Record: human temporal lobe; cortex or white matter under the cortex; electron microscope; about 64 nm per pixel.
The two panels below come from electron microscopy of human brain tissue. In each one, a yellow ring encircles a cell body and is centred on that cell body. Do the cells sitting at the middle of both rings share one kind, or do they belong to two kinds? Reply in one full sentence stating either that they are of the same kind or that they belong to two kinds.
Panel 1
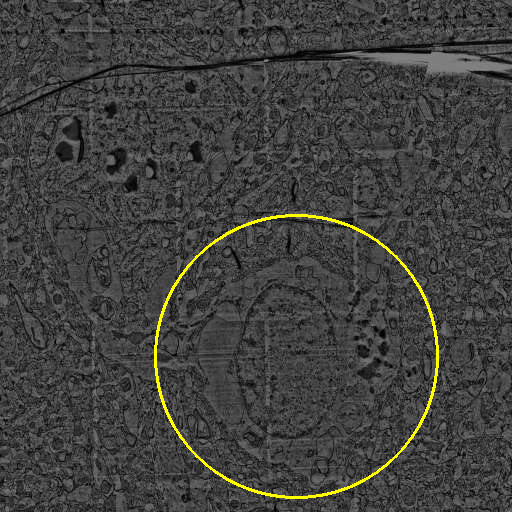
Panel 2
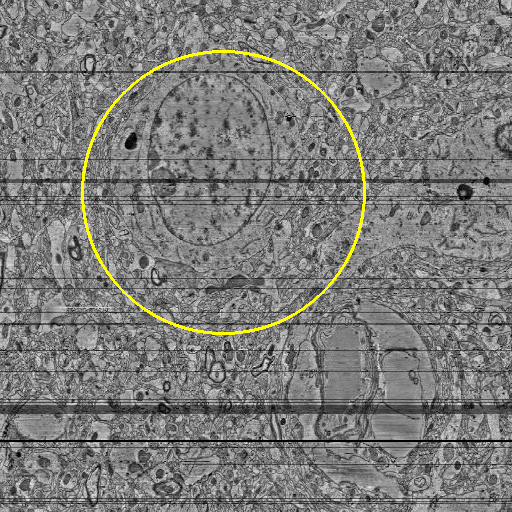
The cells at the centres of the two rings belong to two kinds.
